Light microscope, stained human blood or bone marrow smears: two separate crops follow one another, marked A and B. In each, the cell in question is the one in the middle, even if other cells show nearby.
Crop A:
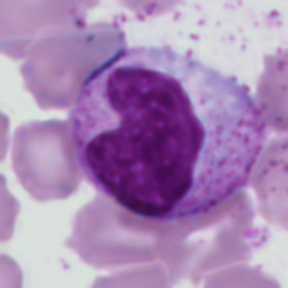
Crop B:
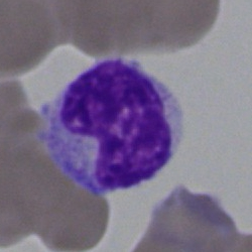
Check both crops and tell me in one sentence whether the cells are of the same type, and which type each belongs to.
Yes, both the first crop and the second crop show metamyelocytes.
